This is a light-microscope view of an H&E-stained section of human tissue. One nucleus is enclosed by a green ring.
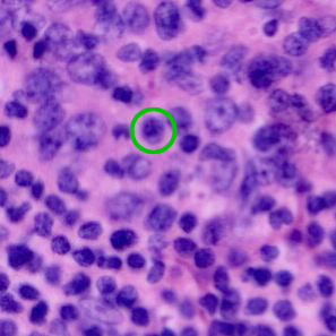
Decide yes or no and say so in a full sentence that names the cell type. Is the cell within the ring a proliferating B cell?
Yes, where cell type is concerned, the cell within the ring is a proliferating B cell.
